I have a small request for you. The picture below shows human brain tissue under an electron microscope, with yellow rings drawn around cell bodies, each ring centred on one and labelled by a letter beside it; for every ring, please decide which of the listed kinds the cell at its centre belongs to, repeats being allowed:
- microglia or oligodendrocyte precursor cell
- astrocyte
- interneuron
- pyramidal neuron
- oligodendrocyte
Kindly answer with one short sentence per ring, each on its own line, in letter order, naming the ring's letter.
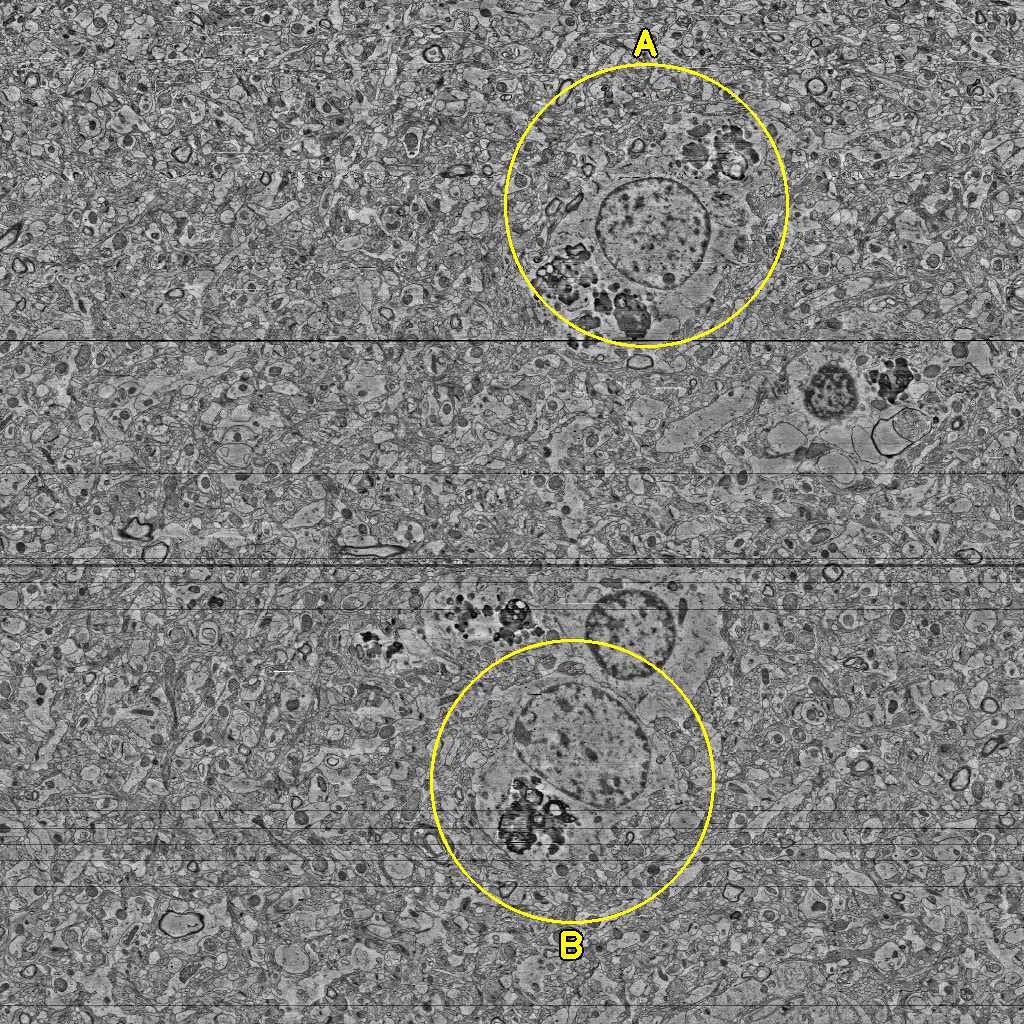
Ring A shows an astrocyte at its centre.
Ring B shows an astrocyte at its centre.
